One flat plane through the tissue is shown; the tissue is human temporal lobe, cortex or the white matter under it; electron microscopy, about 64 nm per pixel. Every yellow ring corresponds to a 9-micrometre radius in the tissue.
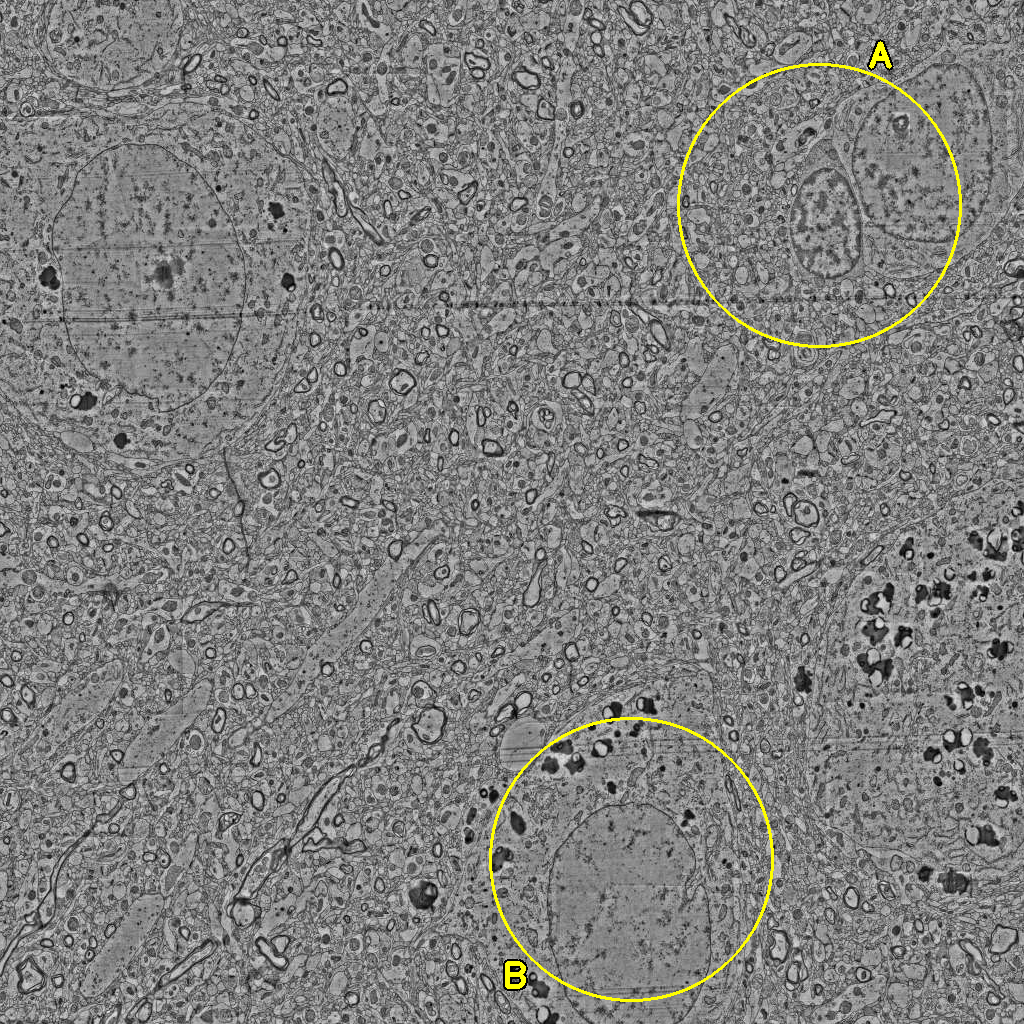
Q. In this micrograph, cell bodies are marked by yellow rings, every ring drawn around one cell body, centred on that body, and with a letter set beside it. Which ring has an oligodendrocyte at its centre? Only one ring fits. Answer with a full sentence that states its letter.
The ring lettered A surrounds the cell asked for at its centre.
